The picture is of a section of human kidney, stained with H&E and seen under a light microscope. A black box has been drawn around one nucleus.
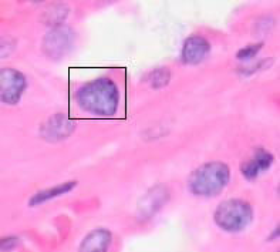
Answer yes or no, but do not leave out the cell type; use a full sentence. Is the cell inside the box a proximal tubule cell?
No, scored properly, the cell inside the box is a loop of Henle or distal tubule cell rather than a proximal tubule cell.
